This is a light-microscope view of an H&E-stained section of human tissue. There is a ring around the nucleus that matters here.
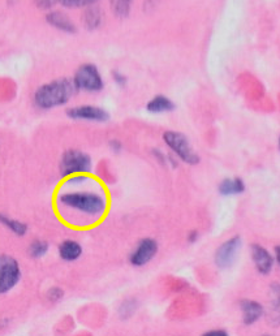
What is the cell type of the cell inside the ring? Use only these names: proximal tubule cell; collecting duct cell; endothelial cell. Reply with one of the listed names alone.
endothelial cell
